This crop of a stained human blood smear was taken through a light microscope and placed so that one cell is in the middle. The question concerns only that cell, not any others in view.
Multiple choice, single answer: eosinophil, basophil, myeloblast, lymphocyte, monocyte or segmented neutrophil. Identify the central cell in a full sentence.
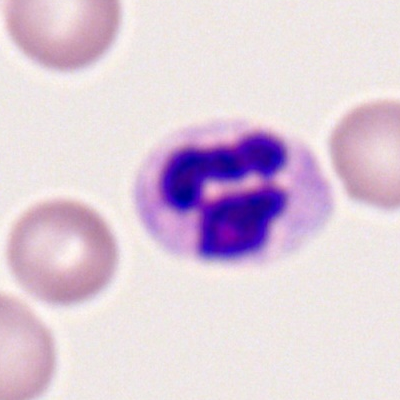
The cell occupying the middle of the crop is a segmented neutrophil.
